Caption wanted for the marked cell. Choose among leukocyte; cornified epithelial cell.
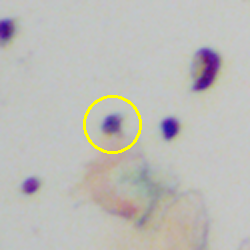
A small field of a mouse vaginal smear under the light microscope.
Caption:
Ringed in yellow is a leukocyte.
